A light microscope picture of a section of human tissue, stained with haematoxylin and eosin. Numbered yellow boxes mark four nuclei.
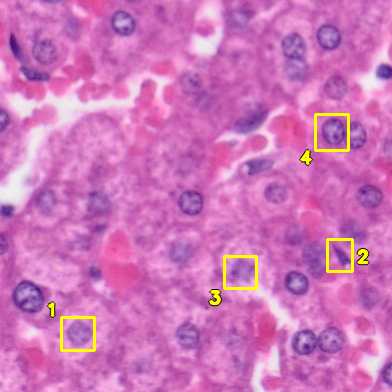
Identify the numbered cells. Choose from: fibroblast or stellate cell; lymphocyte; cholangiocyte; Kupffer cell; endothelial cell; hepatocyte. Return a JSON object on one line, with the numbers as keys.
{"1": "hepatocyte", "2": "fibroblast or stellate cell", "3": "hepatocyte", "4": "hepatocyte"}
